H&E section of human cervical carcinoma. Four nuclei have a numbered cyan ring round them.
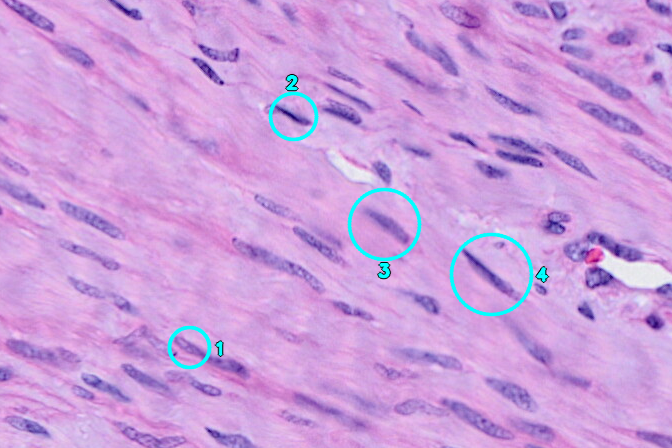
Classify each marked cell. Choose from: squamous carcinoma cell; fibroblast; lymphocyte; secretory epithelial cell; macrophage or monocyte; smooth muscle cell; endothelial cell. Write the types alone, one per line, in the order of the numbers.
smooth muscle cell
fibroblast
fibroblast
fibroblast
